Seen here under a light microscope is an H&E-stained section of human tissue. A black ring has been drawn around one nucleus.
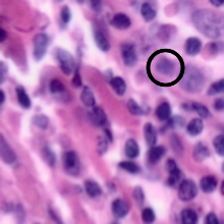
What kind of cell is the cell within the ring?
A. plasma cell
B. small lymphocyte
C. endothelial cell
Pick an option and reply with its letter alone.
C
